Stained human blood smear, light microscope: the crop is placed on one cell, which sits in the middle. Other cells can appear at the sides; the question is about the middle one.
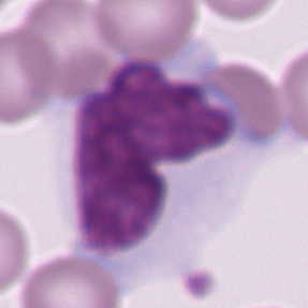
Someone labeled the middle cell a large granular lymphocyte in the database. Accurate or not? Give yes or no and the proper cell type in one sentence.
No, the centre of the crop is taken up by a monocyte, not a large granular lymphocyte.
